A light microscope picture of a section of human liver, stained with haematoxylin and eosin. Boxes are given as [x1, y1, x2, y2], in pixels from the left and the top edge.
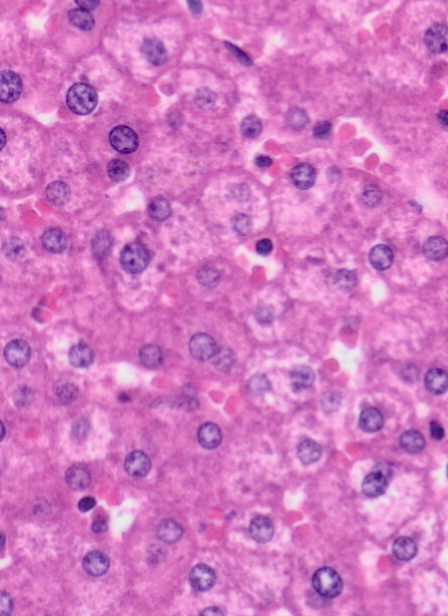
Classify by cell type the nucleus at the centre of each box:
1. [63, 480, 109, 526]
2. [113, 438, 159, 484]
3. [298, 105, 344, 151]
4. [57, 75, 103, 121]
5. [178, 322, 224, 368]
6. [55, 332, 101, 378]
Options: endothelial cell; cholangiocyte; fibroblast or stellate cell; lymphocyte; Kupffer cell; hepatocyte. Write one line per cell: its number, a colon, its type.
1: lymphocyte
2: hepatocyte
3: fibroblast or stellate cell
4: hepatocyte
5: hepatocyte
6: hepatocyte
